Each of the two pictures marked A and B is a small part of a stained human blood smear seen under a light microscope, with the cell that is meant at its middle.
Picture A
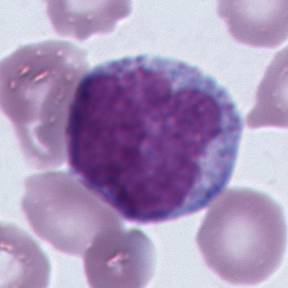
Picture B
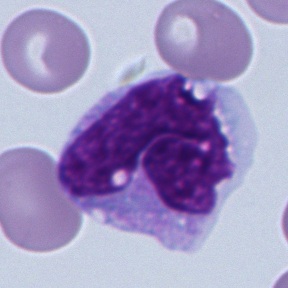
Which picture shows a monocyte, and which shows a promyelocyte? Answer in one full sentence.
The cell in picture A is a promyelocyte, and the one in picture B is a monocyte.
